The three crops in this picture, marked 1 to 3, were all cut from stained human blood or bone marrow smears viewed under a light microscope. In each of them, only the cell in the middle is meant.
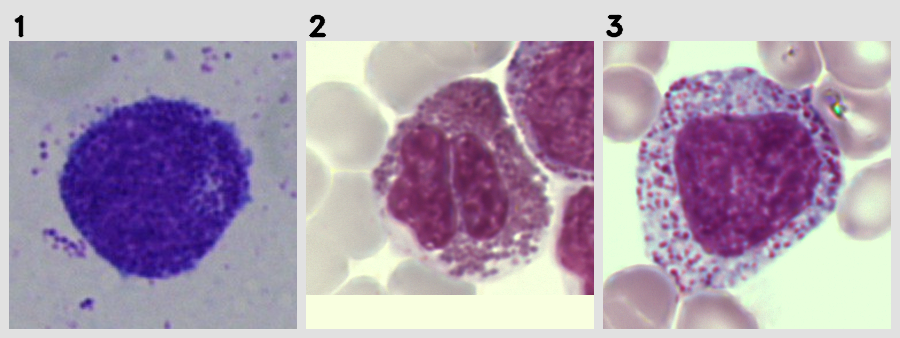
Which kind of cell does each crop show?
1: promyelocyte
2: eosinophil
3: myelocyte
